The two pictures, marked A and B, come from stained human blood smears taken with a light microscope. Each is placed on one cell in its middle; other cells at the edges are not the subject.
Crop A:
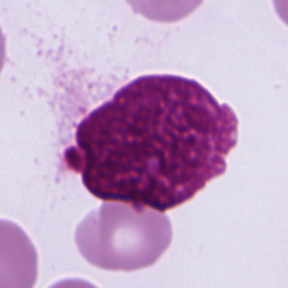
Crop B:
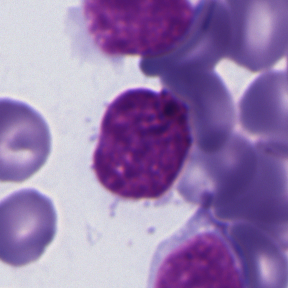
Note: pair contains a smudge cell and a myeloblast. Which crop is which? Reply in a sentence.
Taken crop by crop, crop A is a smudge cell and crop B is a myeloblast.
